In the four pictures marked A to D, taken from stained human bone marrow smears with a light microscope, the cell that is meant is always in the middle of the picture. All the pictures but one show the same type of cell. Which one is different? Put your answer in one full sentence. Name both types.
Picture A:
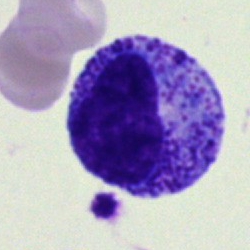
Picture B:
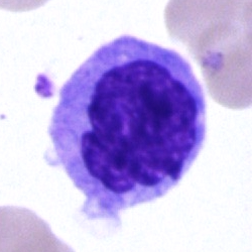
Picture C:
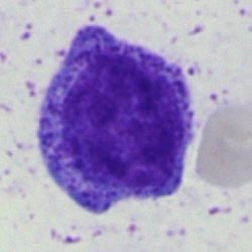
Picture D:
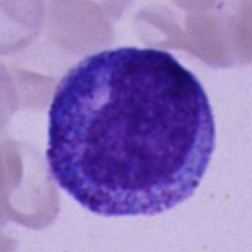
All pictures except B show promyelocytes; picture B shows a monocyte.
